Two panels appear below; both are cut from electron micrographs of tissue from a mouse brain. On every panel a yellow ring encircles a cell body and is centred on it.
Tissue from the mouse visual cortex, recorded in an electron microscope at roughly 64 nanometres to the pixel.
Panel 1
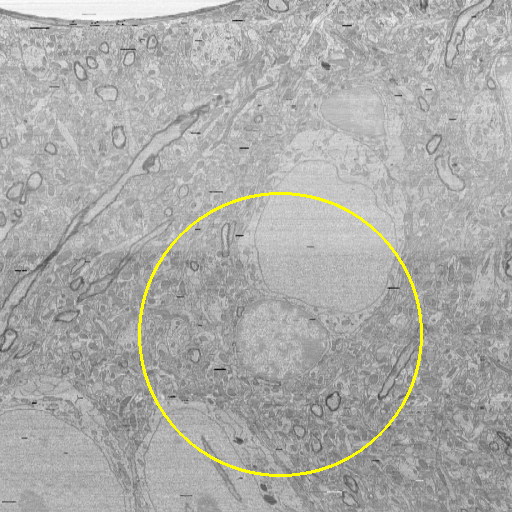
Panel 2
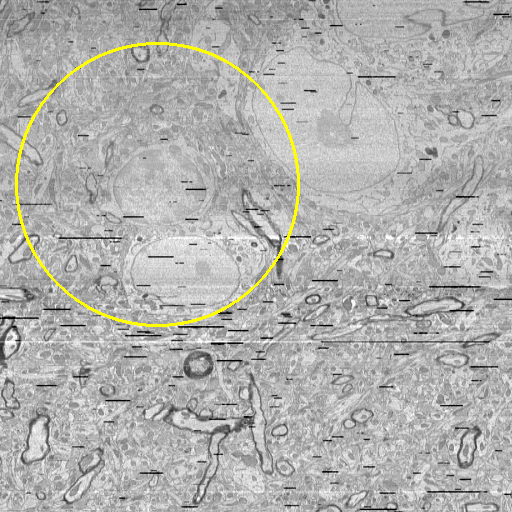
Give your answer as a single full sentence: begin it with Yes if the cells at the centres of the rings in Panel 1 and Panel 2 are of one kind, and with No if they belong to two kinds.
Yes, the cells in the middle of the rings in Panels 1 and 2 are of one kind.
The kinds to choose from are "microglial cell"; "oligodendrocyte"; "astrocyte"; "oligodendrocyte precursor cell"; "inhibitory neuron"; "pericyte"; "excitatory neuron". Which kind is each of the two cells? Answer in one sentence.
In each of the two pictures, the ringed cell is an oligodendrocyte.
